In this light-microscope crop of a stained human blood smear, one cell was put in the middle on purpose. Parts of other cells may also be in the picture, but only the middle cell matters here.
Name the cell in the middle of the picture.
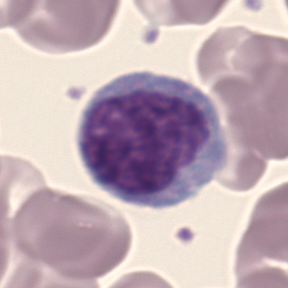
monocyte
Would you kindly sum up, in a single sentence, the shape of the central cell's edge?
Nothing juts out from the margin, which is smooth throughout.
